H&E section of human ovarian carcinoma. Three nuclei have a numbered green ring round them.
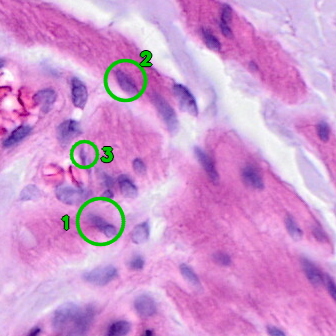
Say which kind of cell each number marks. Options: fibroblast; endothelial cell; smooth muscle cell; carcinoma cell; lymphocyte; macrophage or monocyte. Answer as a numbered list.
1. smooth muscle cell
2. smooth muscle cell
3. endothelial cell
